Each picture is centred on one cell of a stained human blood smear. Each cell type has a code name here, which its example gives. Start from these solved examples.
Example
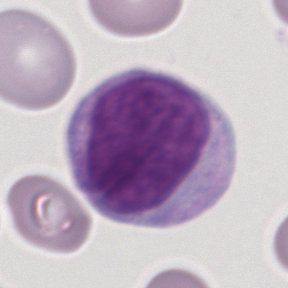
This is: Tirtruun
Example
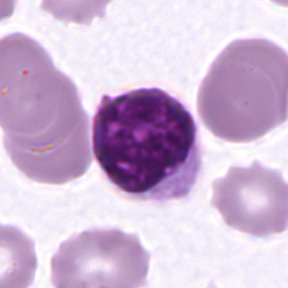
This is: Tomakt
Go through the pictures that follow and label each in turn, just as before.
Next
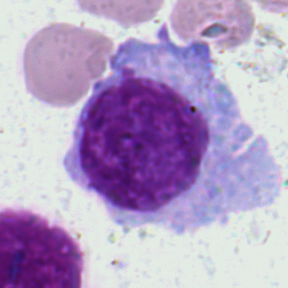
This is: Tomakt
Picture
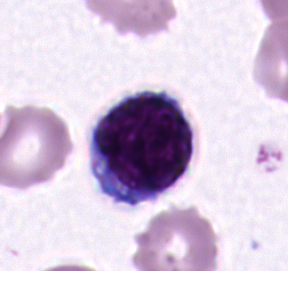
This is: Tomakt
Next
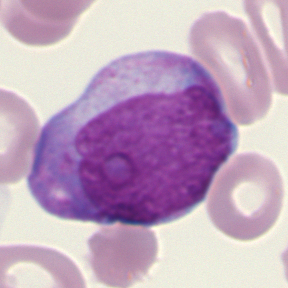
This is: Tirtruun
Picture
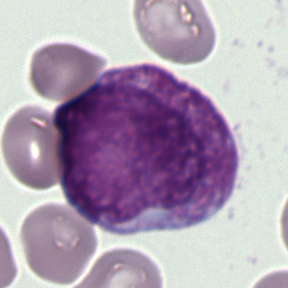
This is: Tirtruun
